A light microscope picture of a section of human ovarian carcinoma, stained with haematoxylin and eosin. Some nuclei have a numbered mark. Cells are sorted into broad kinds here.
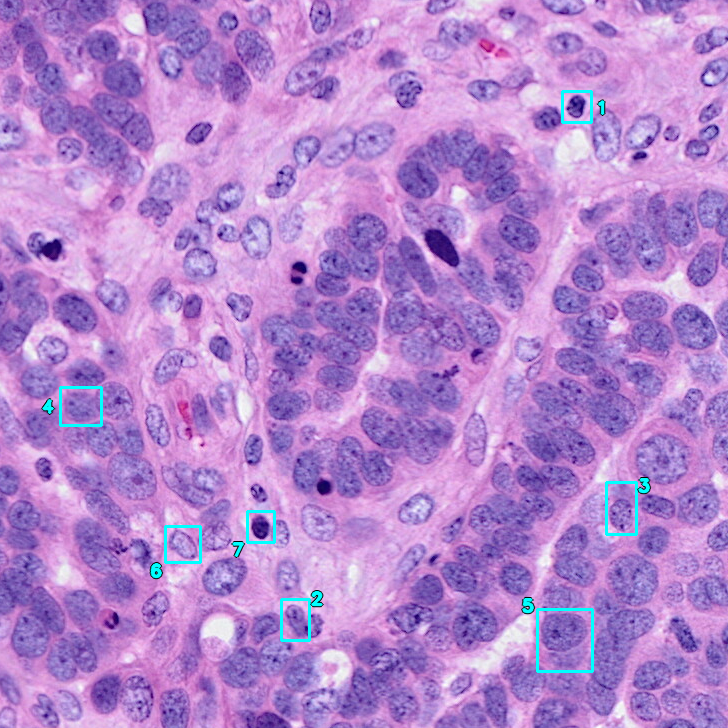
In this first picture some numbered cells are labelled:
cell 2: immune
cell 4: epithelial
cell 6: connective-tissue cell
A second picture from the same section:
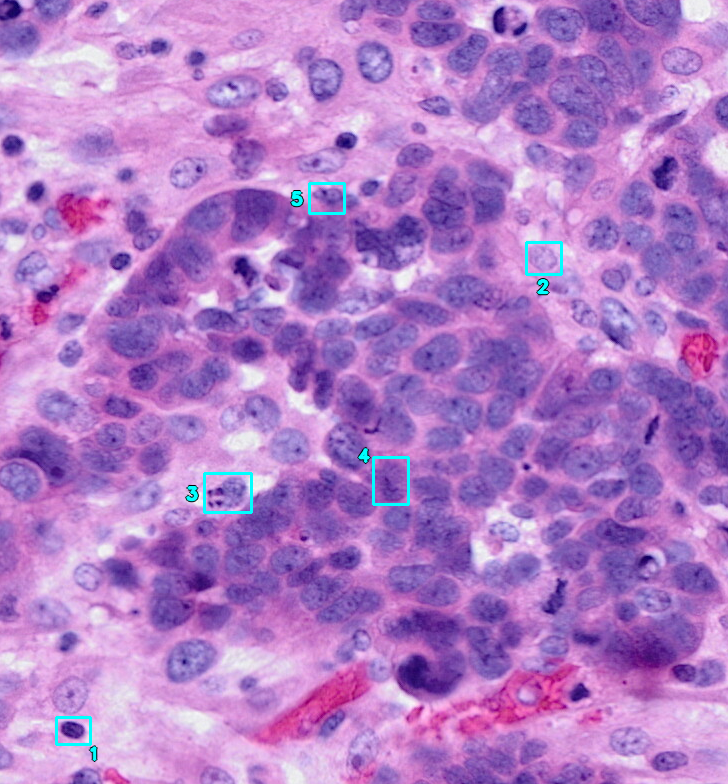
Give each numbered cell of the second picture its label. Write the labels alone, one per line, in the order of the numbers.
immune
connective-tissue cell
immune
epithelial
immune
